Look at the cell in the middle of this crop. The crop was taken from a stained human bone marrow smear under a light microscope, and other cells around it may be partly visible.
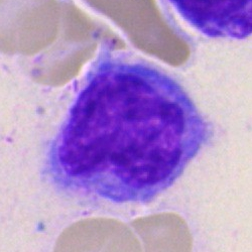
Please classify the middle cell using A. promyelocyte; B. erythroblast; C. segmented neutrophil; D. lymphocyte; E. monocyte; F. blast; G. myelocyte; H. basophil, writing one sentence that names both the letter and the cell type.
The cell right in the middle is a monocyte, so option E is the one.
